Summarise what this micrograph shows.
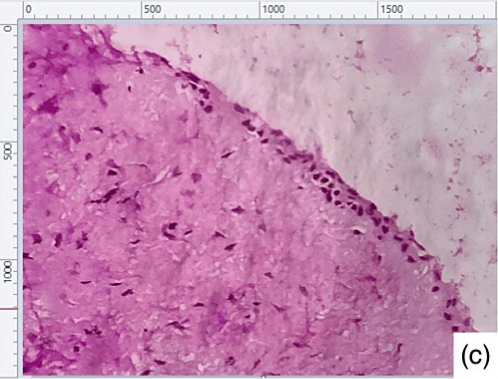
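This section shows the wall of a cyst: a thin stratified squamous epithelium overlying loose connective tissue. The epithelium runs as a narrow band along the edge of the tissue and is only two to three cell layers thick, with small, densely purple nuclei packed closely together. It has no keratin layer on its surface, which faces a pale, nearly empty space. The border between the epithelium and the connective tissue beneath is flat, without ridges projecting downward. The underlying connective tissue is pale pink-purple and loosely textured, with scattered spindle-shaped and stellate dark nuclei.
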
